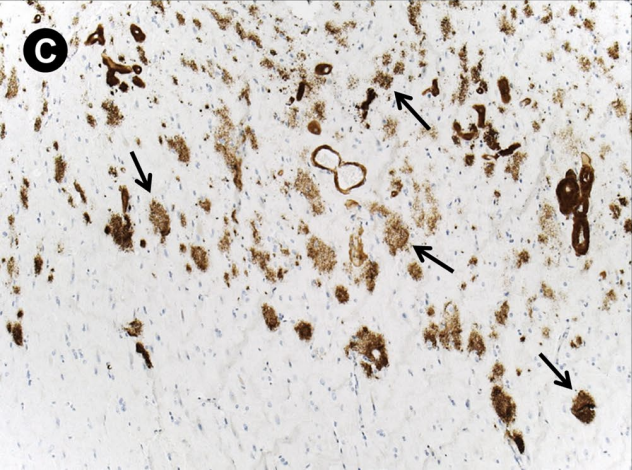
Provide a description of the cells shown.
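Cortical parenchyma with many brown deposits of varying size, rounded to irregular, with fluffy, poorly defined edges and no dense cores. Several small vessels show brown-stained walls as rings and tubes among the deposits; the background tissue is pale with blue nuclei.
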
